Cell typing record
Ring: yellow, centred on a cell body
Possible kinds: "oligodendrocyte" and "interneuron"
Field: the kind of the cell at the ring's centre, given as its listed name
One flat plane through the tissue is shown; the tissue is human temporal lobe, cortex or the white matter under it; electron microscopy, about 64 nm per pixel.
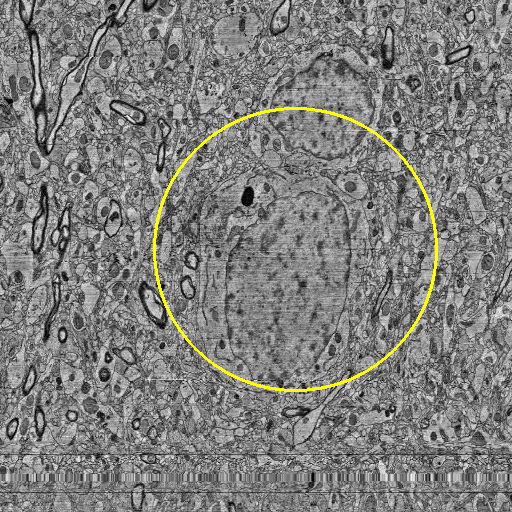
interneuron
